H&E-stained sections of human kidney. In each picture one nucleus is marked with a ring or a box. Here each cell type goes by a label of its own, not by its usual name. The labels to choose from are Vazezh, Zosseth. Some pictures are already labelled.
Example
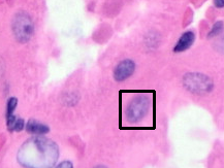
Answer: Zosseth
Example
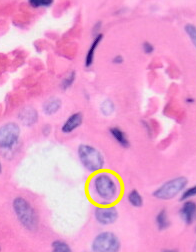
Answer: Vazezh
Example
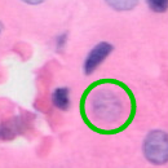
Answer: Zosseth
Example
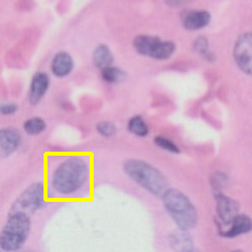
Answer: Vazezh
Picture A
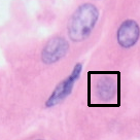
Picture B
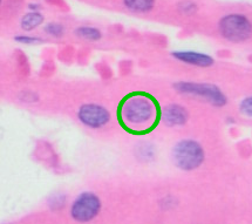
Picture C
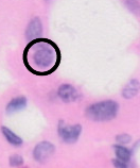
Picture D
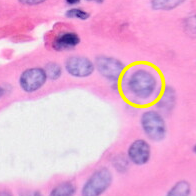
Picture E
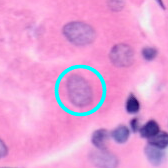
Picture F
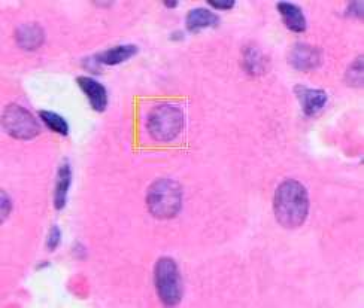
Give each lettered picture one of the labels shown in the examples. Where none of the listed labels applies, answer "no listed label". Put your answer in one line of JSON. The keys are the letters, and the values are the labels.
{"A": "Zosseth", "B": "no listed label", "C": "Vazezh", "D": "Vazezh", "E": "Zosseth", "F": "Zosseth"}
